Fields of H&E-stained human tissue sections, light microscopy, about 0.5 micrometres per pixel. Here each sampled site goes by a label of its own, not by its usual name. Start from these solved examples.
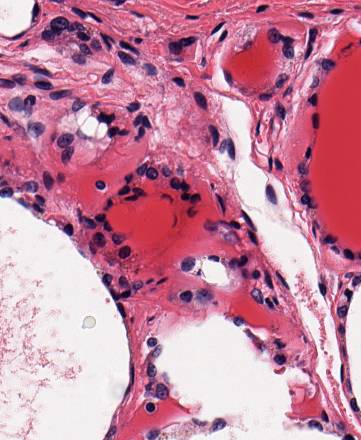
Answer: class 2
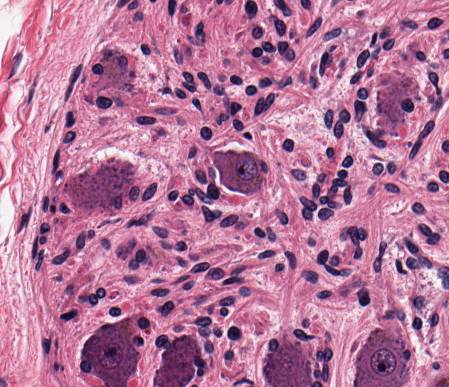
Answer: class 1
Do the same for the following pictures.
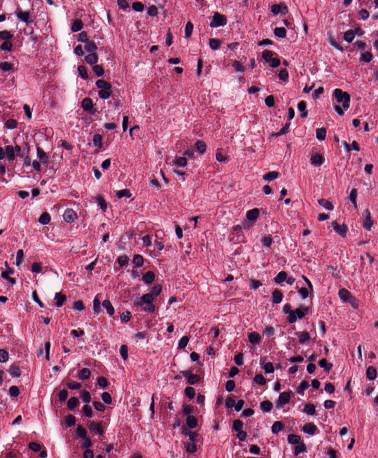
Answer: class 1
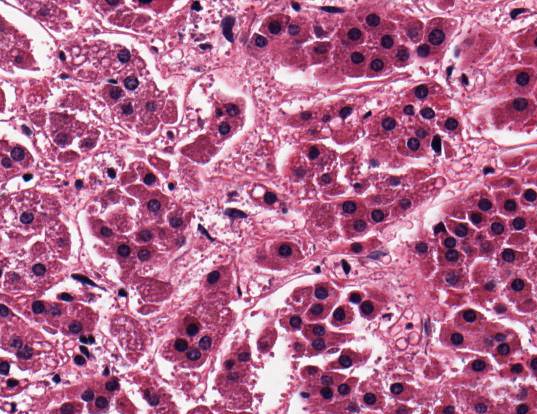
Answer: class 1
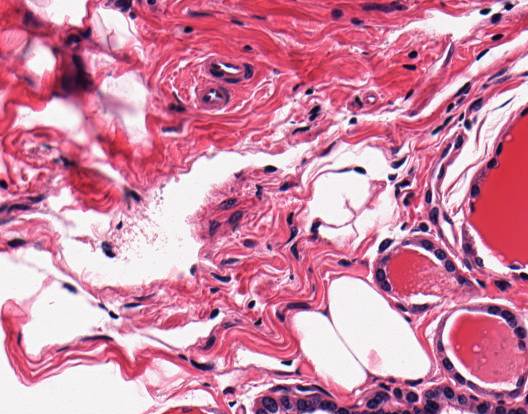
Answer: class 2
